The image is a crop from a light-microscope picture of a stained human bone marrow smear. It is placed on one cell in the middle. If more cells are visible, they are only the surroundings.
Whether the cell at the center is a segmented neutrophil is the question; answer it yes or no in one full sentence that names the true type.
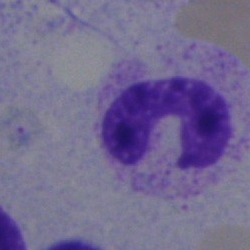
No, what lies at the heart of the crop is a band neutrophil, not a segmented neutrophil.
